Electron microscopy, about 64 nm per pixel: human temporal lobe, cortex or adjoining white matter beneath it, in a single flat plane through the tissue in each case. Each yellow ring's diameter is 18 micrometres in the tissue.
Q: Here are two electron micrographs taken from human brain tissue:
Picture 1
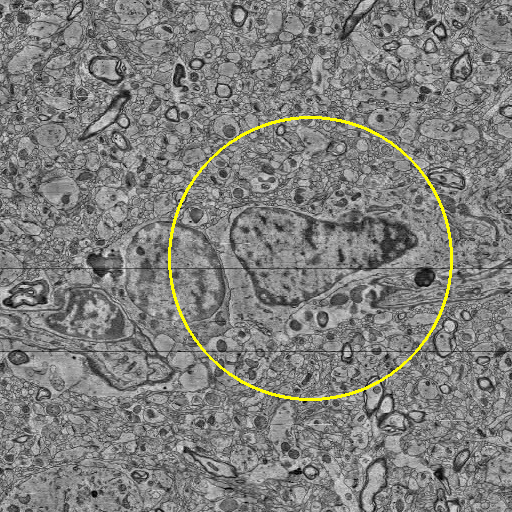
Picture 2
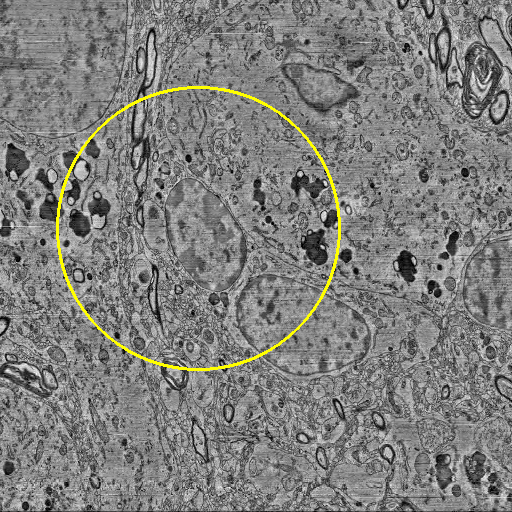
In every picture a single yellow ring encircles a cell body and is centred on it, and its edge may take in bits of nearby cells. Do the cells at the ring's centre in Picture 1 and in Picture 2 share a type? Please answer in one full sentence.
Yes, the cells at the ring's centre in Picture 1 and Picture 2 share a type.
